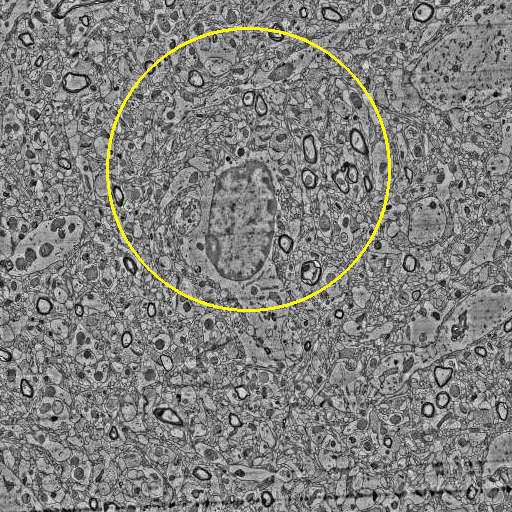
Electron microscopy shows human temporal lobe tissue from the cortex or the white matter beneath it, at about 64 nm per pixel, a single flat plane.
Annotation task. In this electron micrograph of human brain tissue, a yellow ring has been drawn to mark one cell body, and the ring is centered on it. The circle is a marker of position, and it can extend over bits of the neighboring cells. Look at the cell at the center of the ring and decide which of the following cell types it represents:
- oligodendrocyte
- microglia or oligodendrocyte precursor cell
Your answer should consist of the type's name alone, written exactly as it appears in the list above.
microglia or oligodendrocyte precursor cell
